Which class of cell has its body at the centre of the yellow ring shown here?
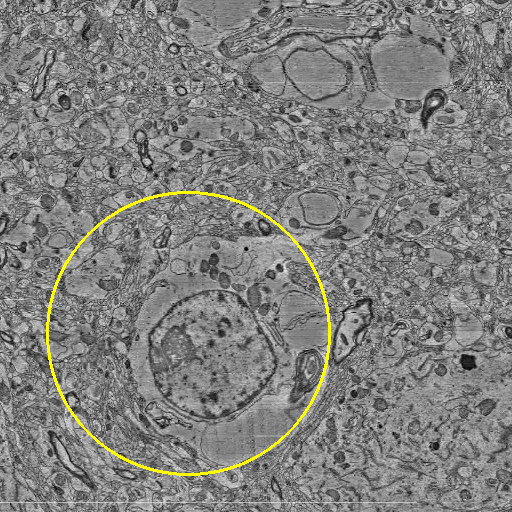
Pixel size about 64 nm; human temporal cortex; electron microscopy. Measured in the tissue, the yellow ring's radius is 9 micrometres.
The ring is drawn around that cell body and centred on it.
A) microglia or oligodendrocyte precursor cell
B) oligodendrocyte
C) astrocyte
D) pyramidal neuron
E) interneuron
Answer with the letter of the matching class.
C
